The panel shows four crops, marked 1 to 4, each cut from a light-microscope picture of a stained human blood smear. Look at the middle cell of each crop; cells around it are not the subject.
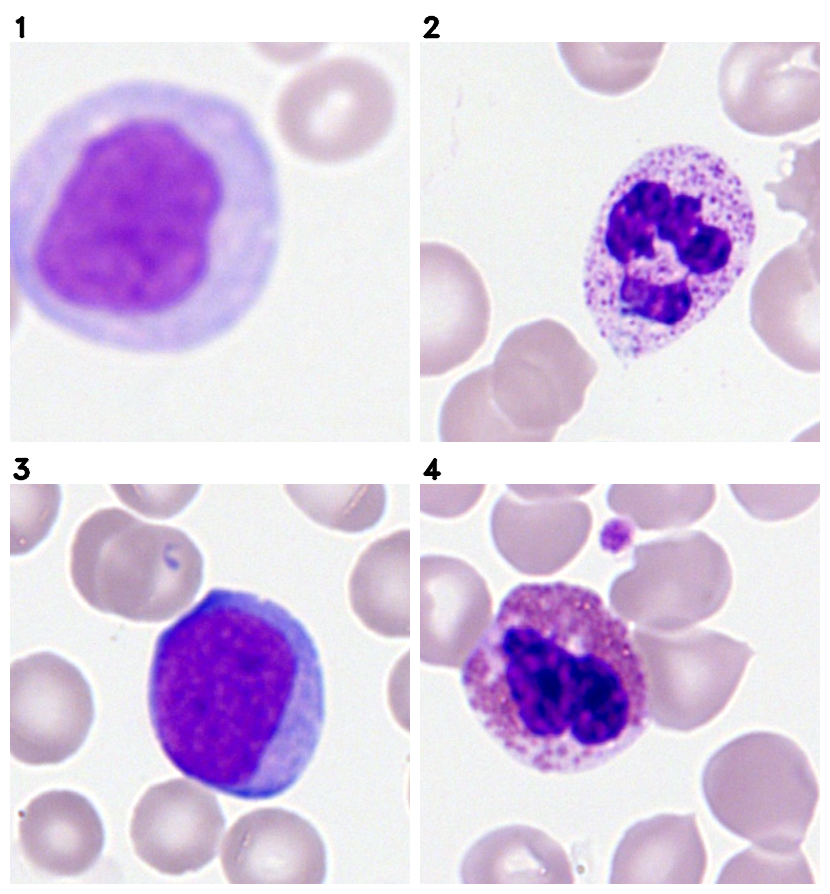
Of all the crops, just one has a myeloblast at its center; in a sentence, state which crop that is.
Of the cells presented, the one in crop 3 is a myeloblast.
